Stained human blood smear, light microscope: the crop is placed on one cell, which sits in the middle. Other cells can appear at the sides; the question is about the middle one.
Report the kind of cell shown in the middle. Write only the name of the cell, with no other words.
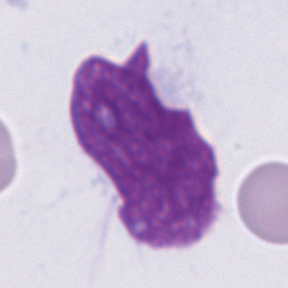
smudge cell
